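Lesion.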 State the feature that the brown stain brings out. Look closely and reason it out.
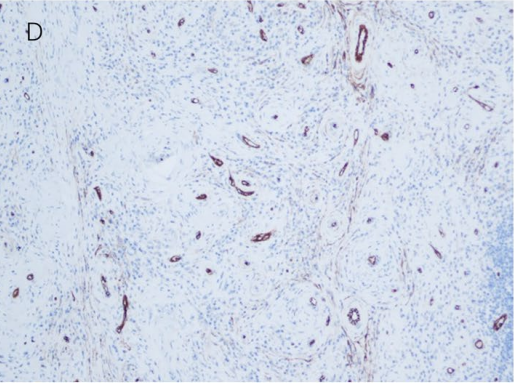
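Vascular endothelium. Brown stain lines small round and slit-like lumens. The surrounding stroma and cells are blue and unstained.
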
